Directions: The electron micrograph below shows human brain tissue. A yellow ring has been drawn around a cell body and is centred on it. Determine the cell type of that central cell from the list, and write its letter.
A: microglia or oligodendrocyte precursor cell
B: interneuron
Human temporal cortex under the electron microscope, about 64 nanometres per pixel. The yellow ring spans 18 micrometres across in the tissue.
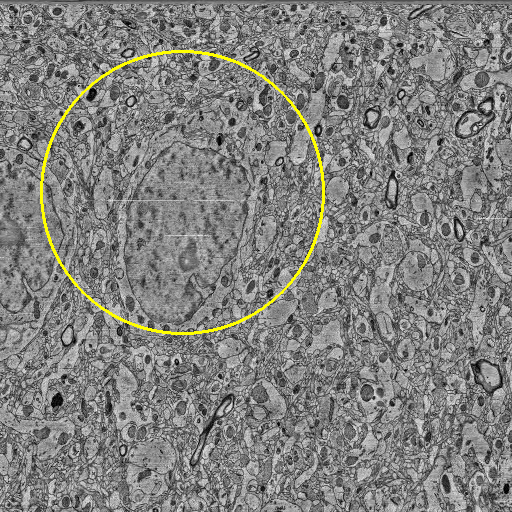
B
